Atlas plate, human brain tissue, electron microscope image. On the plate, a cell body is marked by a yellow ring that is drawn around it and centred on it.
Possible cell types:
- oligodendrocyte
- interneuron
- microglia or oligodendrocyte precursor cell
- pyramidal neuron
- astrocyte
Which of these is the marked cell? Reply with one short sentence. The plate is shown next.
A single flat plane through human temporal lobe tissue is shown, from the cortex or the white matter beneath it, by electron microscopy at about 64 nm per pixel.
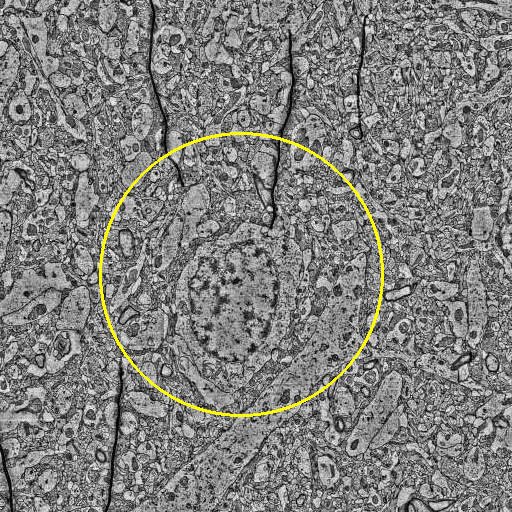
The marked cell is an interneuron.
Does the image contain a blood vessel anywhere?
No, no vessel appears in the picture.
